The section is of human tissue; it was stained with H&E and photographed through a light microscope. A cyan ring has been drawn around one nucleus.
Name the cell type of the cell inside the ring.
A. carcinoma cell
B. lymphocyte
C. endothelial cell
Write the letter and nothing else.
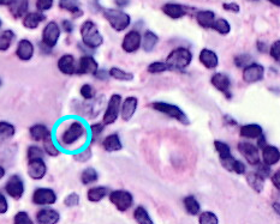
B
